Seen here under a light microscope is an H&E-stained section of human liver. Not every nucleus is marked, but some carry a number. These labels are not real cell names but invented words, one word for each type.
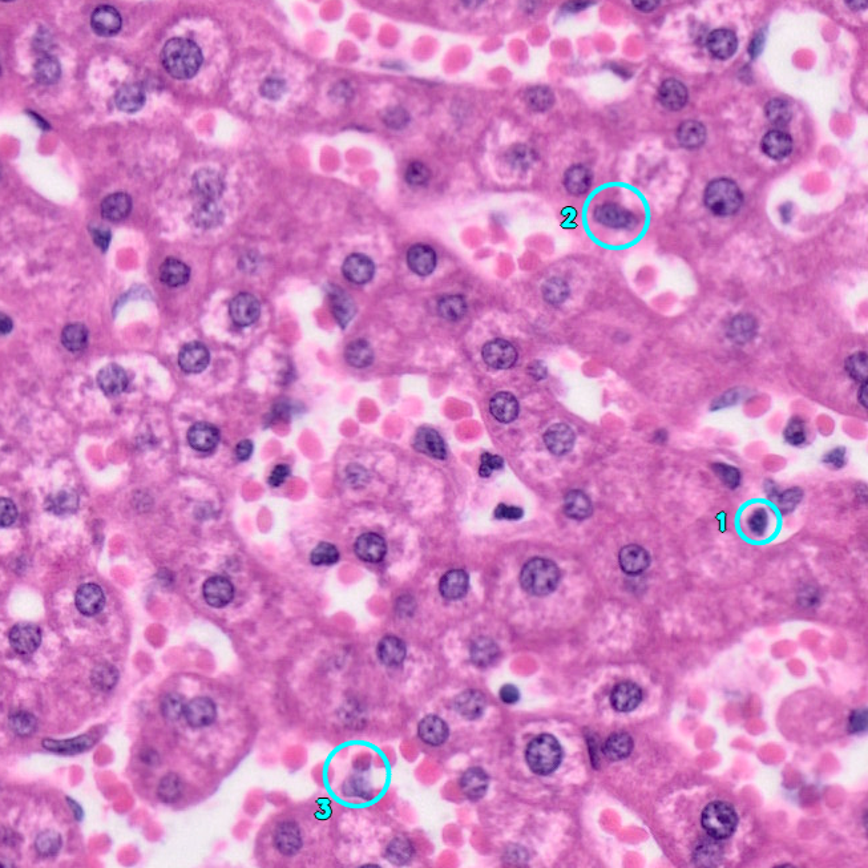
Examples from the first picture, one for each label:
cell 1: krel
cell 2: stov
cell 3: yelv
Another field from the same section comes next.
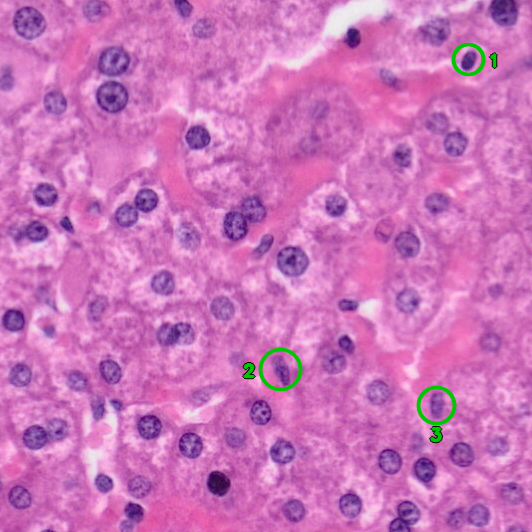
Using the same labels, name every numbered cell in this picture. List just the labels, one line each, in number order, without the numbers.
krel
yelv
stov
